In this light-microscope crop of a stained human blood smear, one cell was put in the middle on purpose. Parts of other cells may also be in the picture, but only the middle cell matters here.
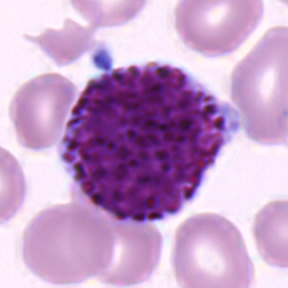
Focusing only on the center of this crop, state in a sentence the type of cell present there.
The cell centred in this crop is categorized as a basophil.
